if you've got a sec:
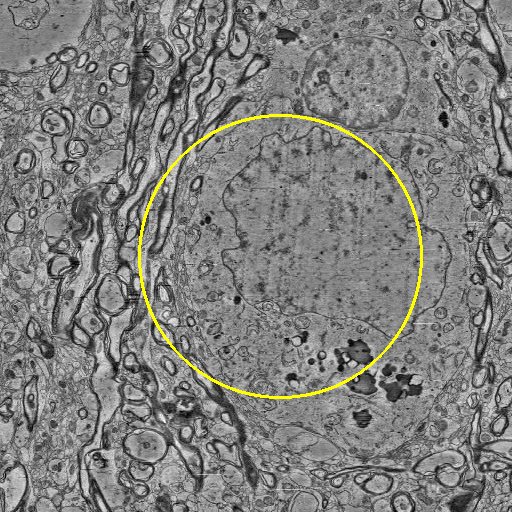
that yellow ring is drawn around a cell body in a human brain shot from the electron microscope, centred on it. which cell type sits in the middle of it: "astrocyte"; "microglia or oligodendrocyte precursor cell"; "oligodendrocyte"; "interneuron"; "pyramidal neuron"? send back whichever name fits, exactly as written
pyramidal neuron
